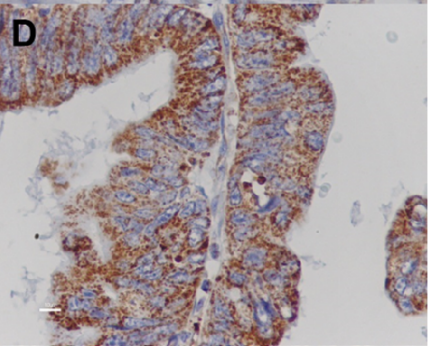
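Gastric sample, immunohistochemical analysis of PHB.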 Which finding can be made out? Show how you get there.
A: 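Tall columnar cells line a gland-like lumen. Nuclei are elongated, crowded and stacked. Cytoplasm carries dense granular brown stain. The answer: intestinal-type tumor.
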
